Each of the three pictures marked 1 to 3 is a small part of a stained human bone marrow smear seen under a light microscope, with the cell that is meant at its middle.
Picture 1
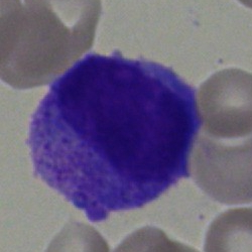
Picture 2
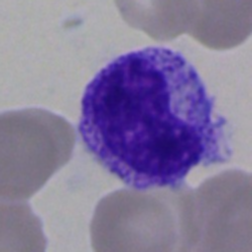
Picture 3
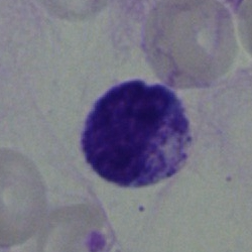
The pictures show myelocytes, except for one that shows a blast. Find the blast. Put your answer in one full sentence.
The blast is the one in picture 1.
